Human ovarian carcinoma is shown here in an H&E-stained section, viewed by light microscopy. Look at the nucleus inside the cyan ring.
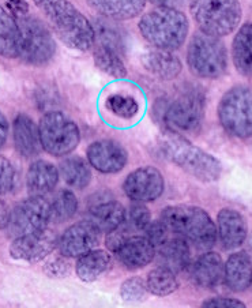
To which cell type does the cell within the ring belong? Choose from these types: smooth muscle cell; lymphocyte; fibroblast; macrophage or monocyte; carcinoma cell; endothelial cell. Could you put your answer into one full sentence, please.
In terms of identity, the cell within the ring is a lymphocyte.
